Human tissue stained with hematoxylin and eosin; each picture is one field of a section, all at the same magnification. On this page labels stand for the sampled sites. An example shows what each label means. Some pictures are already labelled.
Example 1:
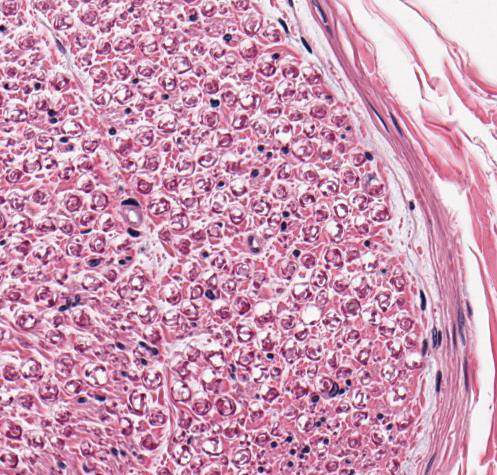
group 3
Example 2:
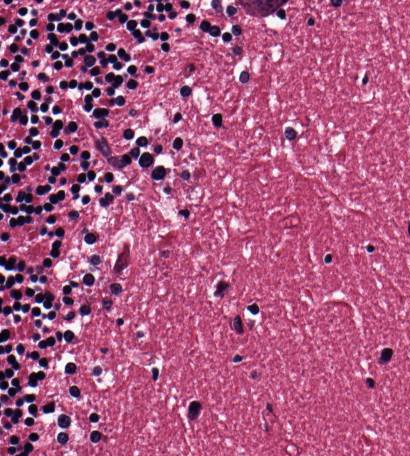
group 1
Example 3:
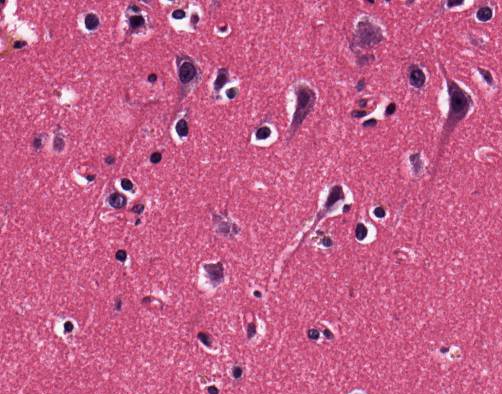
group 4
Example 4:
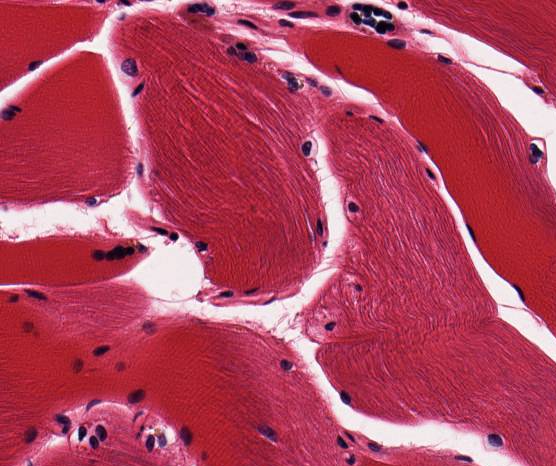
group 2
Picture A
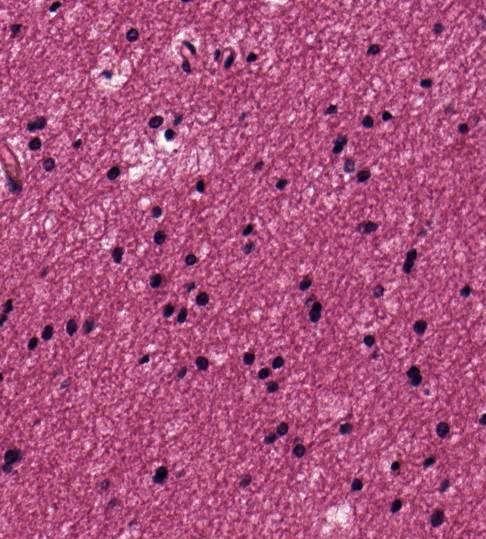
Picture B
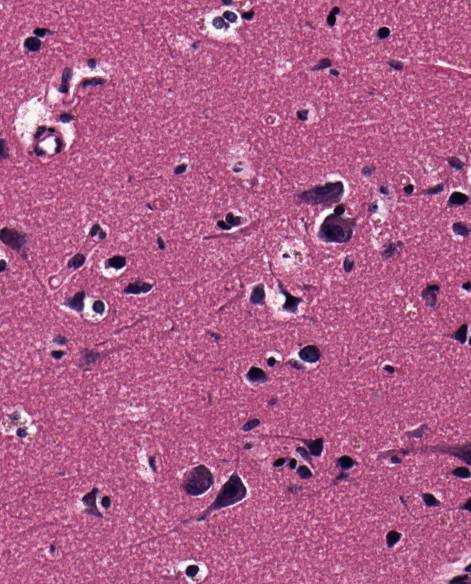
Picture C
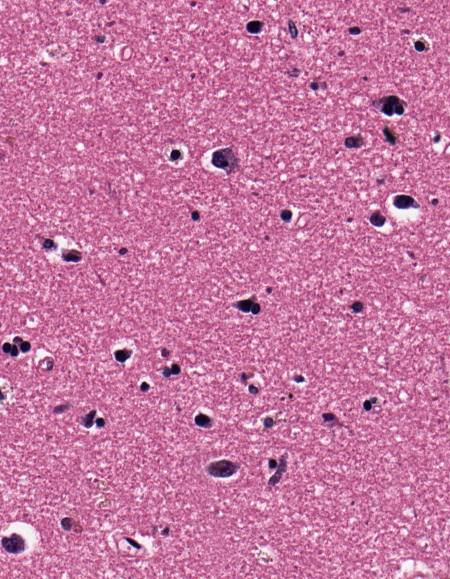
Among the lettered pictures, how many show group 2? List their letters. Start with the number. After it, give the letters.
0, none of them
